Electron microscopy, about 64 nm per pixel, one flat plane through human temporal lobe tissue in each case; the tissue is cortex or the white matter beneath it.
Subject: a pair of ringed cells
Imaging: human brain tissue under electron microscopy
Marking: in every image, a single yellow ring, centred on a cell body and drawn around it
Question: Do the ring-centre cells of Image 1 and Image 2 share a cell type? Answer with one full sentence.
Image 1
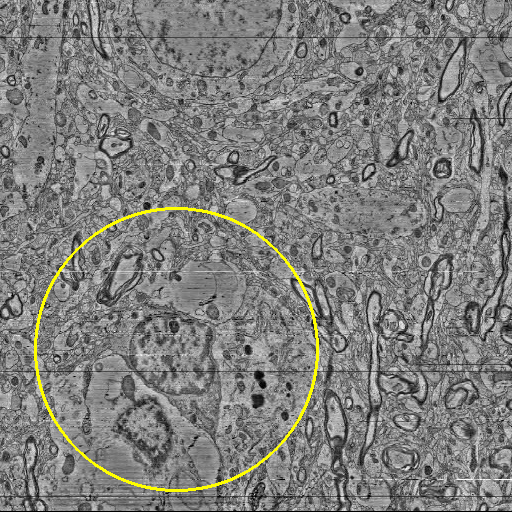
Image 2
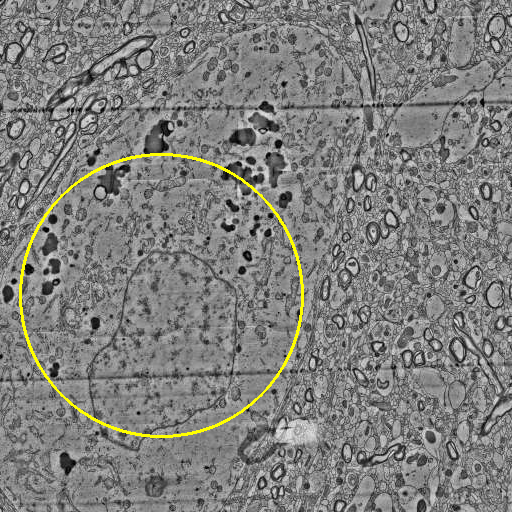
No, at the ring centres in the images sit cells of two separate types.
